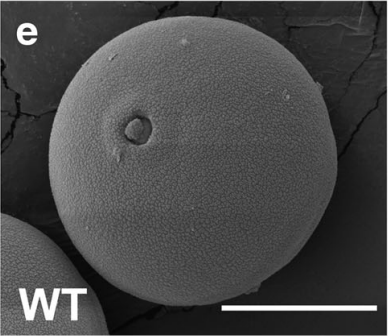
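This is a mature pollen grain seen by scanning electron microscopy. The grain is spherical and fills most of the field, with part of a second grain at the lower left. A single small circular aperture with a raised rim lies on its upper surface. The whole wall surface is finely and evenly granular. The grain rests on a cracked background surface.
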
